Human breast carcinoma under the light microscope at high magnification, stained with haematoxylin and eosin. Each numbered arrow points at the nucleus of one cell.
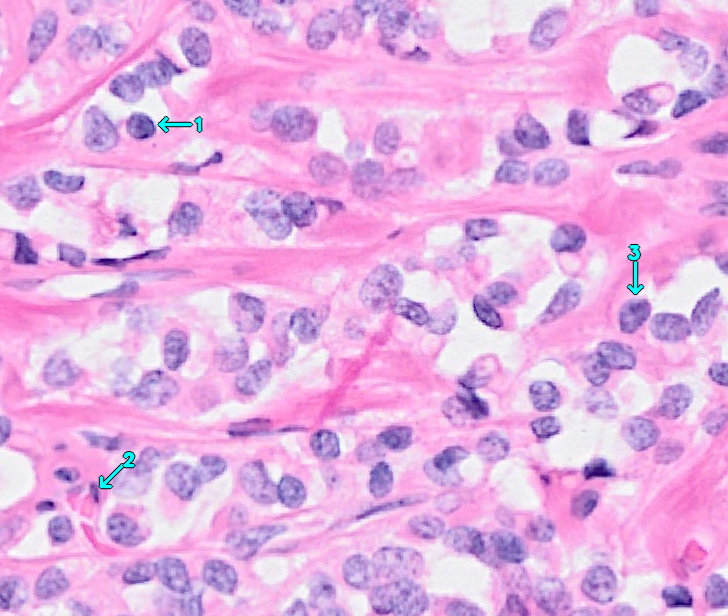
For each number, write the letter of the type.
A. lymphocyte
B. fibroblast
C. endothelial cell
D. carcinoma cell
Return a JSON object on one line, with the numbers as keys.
{"1": "D", "2": "C", "3": "D"}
